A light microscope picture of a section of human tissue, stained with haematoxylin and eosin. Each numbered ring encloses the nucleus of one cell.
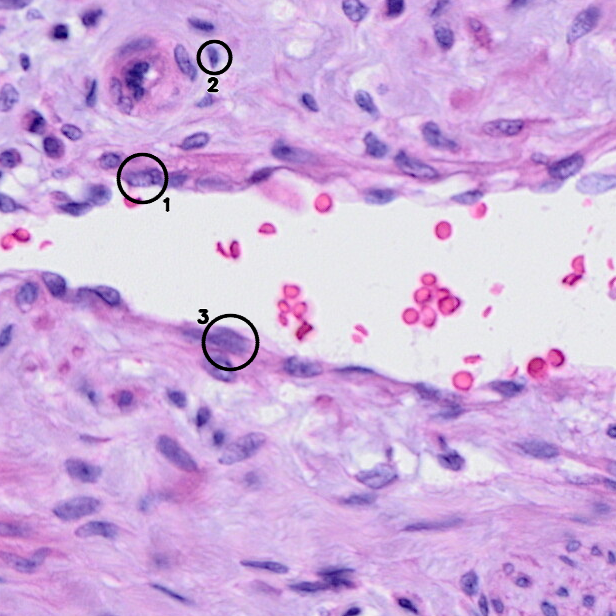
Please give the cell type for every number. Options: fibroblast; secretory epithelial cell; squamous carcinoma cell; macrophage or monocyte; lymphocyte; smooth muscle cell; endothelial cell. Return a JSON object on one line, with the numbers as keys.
{"1": "endothelial cell", "2": "fibroblast", "3": "endothelial cell"}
